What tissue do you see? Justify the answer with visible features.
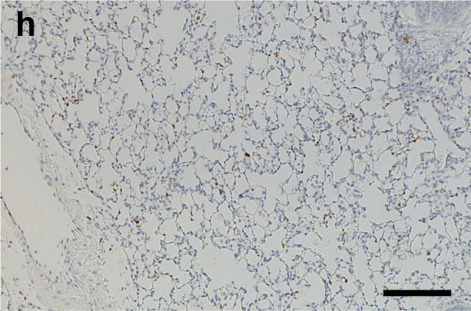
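Lung parenchyma. Thin septa outline open air spaces across the field. Few brown-stained nuclei scattered in the septa.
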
